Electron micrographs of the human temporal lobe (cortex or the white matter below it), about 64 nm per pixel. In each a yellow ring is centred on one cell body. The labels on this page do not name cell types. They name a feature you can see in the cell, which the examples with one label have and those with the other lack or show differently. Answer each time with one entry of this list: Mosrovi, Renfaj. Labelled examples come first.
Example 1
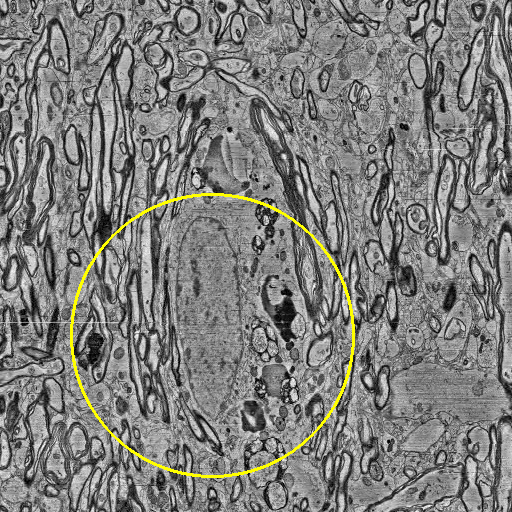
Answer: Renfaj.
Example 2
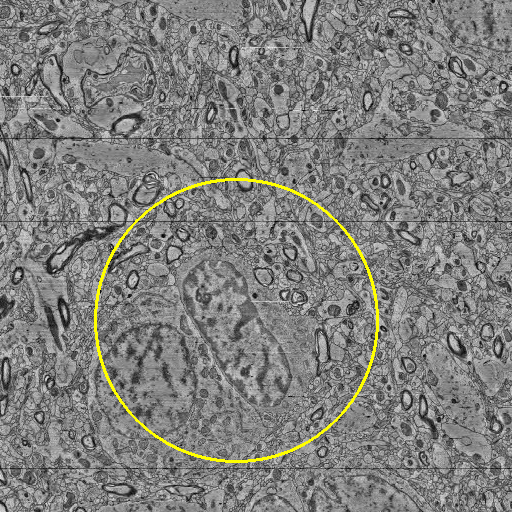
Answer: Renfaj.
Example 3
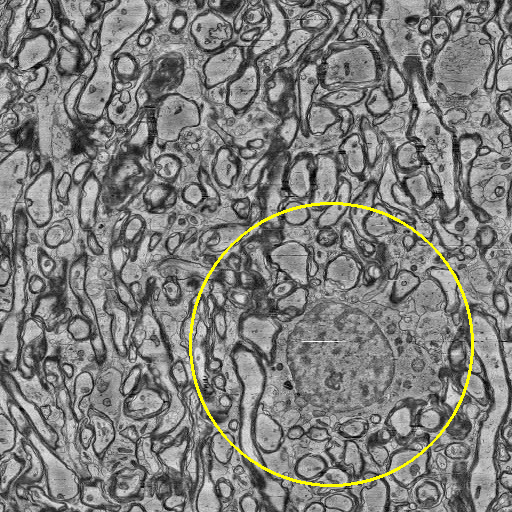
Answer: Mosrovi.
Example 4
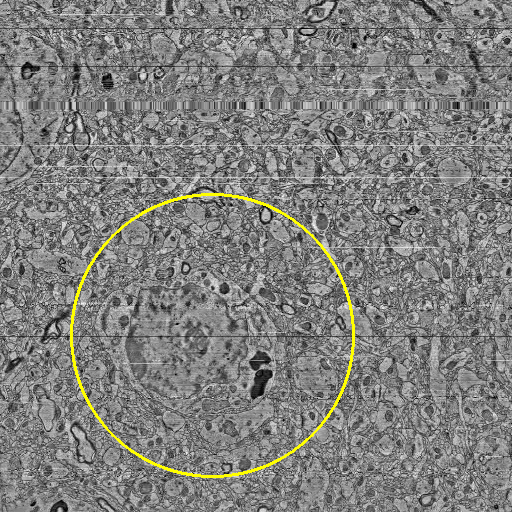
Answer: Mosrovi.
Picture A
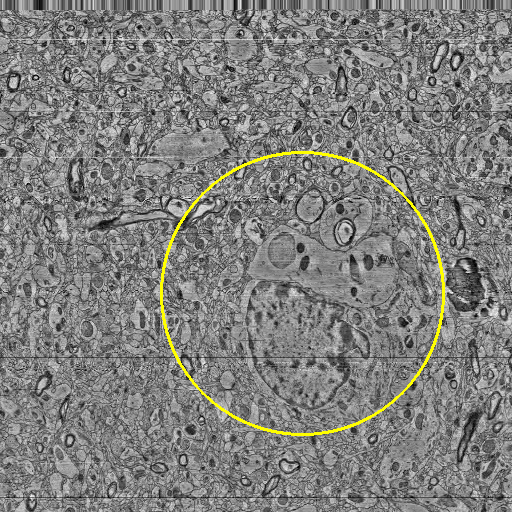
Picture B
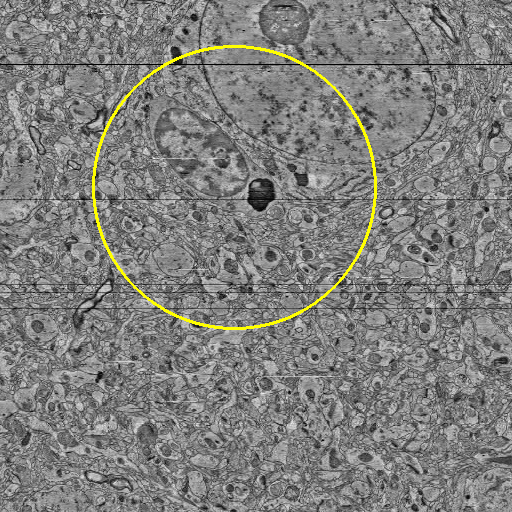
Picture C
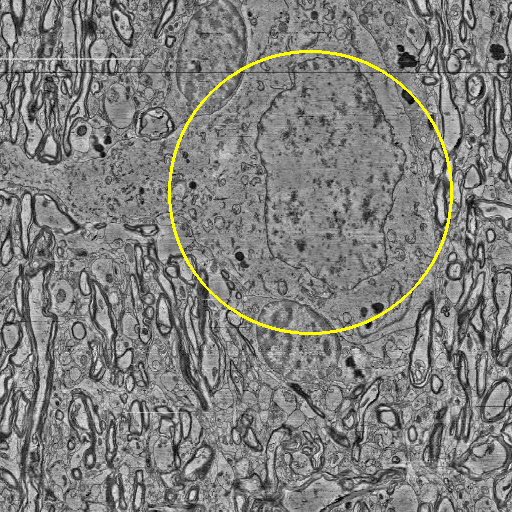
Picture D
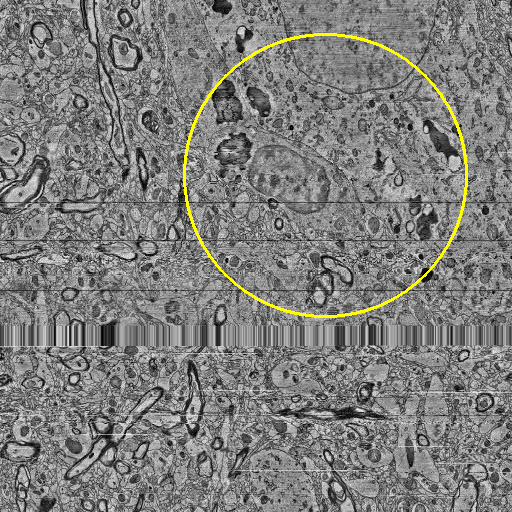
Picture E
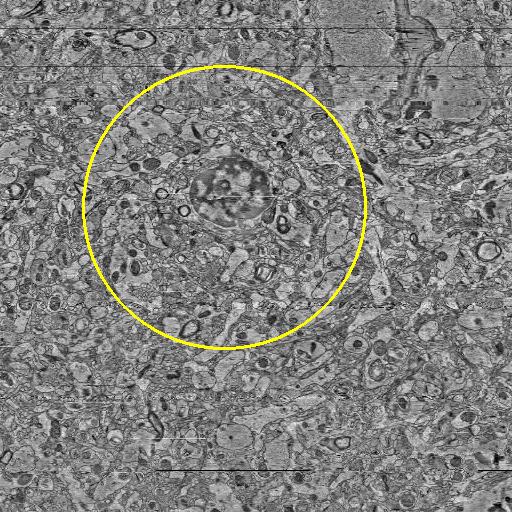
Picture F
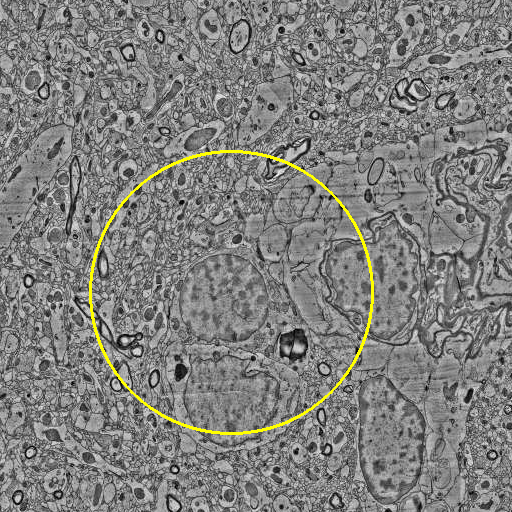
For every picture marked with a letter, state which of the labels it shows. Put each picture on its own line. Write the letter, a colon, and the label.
A: Mosrovi.
B: Renfaj.
C: Renfaj.
D: Renfaj.
E: Mosrovi.
F: Mosrovi.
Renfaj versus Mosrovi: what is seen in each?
Renfaj: clearly elongated nuclei; Mosrovi: round or nearly round nuclei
